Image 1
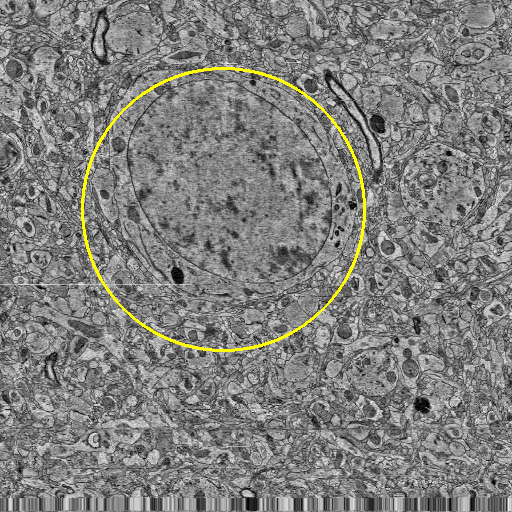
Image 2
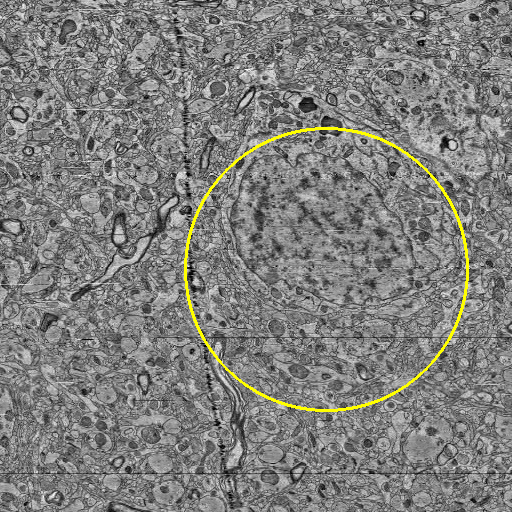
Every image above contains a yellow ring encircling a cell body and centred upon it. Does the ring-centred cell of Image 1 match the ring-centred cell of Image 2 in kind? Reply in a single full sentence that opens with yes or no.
No, the cell at the ring's centre in Image 1 is a separate kind from that in Image 2.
